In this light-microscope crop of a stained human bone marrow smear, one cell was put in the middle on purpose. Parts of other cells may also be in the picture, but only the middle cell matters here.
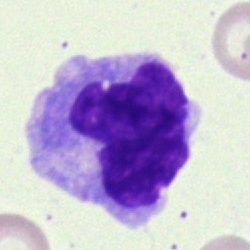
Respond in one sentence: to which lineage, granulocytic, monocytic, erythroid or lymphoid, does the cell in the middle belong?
The central cell in this crop is categorized under the monocytic lineage.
